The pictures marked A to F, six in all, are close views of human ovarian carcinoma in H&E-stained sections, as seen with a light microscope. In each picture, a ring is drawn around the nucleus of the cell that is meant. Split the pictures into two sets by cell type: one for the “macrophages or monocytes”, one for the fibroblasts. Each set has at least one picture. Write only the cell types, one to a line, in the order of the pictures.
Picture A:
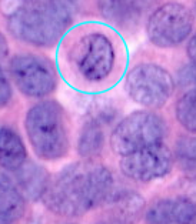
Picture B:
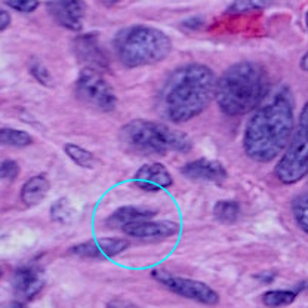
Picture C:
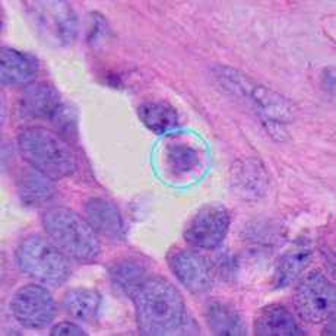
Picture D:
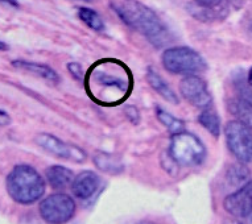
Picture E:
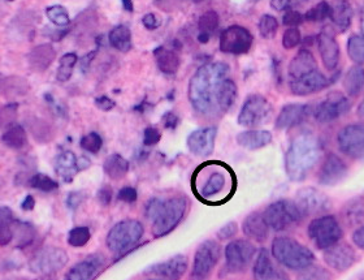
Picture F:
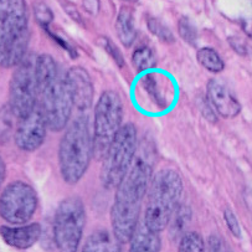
macrophage or monocyte
fibroblast
macrophage or monocyte
fibroblast
macrophage or monocyte
fibroblast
